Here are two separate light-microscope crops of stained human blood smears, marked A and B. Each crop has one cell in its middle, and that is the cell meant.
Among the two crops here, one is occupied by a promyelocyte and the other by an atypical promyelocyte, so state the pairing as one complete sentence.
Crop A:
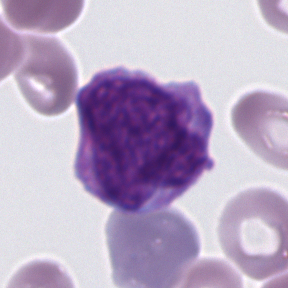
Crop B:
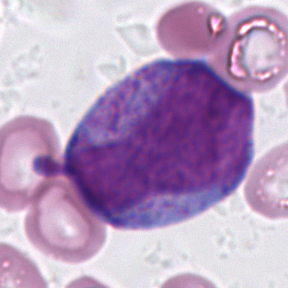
In short, crop A is an atypical promyelocyte and crop B is a promyelocyte.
